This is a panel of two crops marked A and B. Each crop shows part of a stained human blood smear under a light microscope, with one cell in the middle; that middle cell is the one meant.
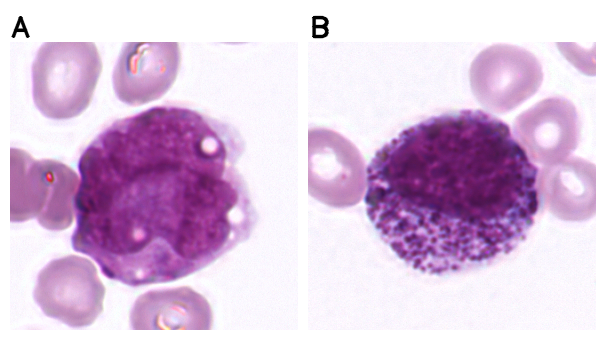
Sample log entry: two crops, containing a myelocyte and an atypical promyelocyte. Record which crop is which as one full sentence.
Found in crop A is an atypical promyelocyte; found in crop B is a myelocyte.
